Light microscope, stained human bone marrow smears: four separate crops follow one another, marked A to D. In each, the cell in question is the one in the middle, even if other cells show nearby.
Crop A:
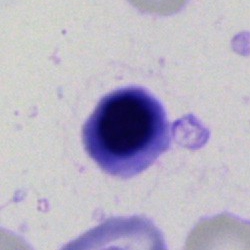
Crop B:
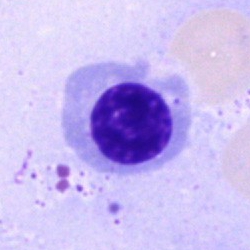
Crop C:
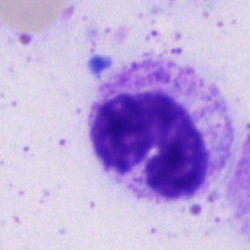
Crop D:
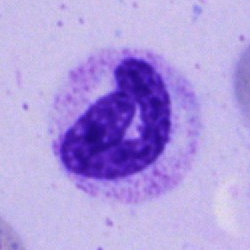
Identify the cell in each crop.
A: erythroblast
B: erythroblast
C: band neutrophil
D: segmented neutrophil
